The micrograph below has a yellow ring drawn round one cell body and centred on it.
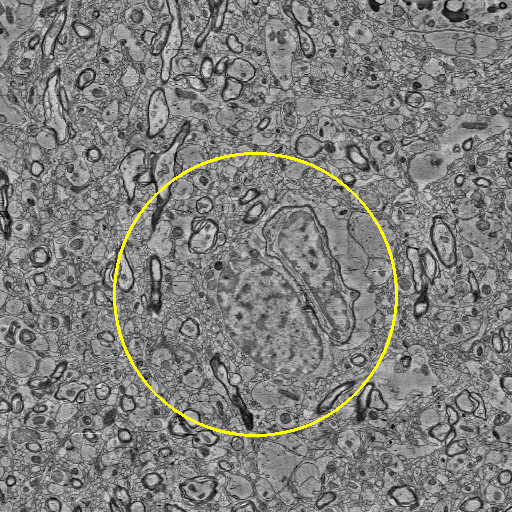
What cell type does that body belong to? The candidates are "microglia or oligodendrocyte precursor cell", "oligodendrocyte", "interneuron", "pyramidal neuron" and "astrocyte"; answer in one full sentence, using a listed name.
This is an oligodendrocyte, the cell whose body lies at the centre of the ring.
